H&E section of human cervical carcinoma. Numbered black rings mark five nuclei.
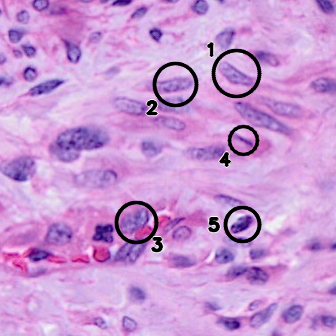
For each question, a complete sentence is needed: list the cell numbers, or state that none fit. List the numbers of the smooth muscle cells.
The cells bearing the numbers 1, 2 and 4 are smooth muscle cells.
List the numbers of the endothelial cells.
A single numbered cell, cell 3, is an endothelial cell.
